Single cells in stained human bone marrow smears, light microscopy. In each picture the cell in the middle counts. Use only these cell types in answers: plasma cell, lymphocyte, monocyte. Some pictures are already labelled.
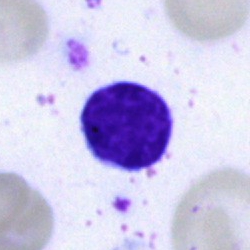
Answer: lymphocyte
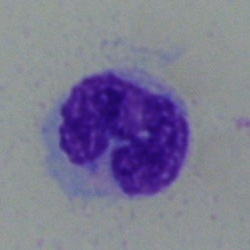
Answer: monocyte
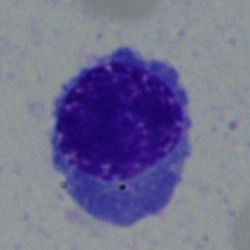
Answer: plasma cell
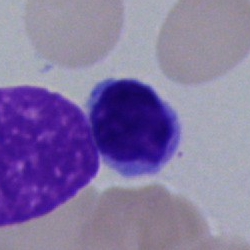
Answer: lymphocyte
